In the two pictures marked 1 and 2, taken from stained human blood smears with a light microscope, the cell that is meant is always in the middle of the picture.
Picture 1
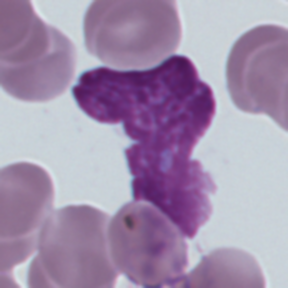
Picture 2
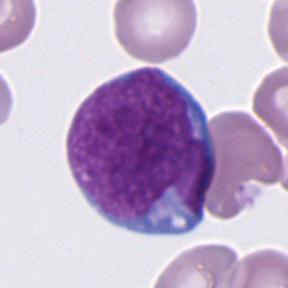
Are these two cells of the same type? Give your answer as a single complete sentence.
No. Picture 1 shows a smudge cell, but picture 2 shows a myeloblast.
